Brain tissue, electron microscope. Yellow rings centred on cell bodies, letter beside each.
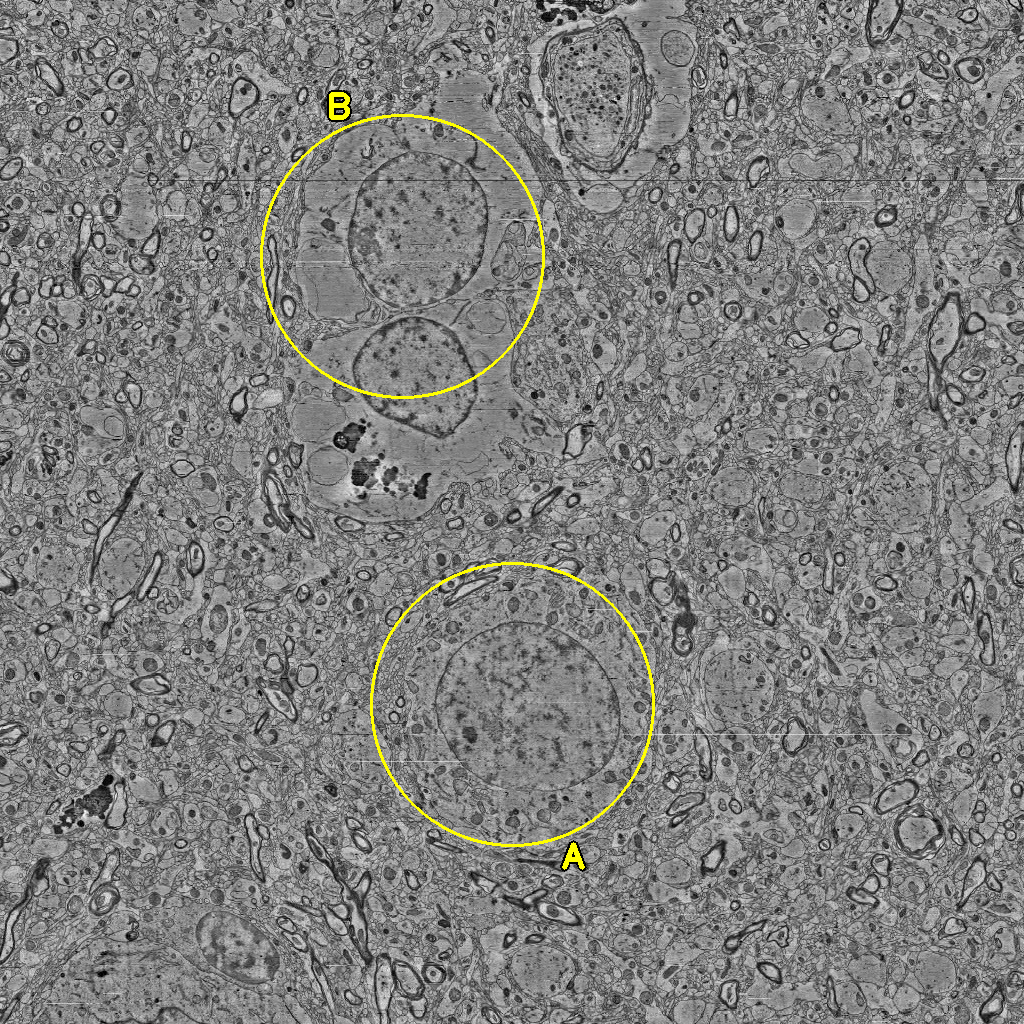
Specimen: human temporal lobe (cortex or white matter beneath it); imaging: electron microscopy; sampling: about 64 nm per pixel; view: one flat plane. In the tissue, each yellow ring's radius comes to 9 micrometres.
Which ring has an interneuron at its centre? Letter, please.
A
